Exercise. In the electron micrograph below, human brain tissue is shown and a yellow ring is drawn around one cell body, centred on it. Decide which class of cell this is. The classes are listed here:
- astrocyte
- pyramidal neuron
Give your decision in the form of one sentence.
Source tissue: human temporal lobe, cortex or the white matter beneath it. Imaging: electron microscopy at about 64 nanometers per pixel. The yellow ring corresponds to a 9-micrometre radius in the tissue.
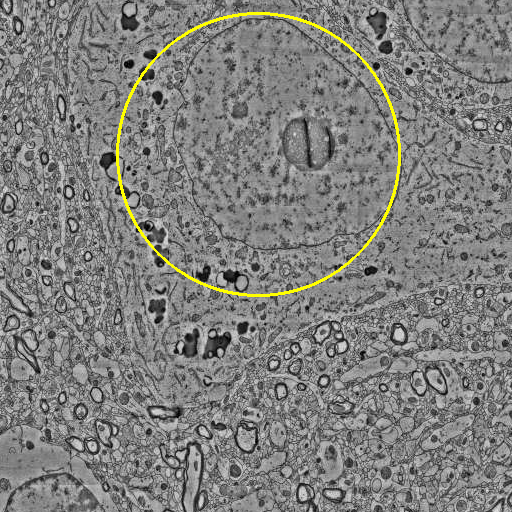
The cell body marked by the ring belongs to a pyramidal neuron.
